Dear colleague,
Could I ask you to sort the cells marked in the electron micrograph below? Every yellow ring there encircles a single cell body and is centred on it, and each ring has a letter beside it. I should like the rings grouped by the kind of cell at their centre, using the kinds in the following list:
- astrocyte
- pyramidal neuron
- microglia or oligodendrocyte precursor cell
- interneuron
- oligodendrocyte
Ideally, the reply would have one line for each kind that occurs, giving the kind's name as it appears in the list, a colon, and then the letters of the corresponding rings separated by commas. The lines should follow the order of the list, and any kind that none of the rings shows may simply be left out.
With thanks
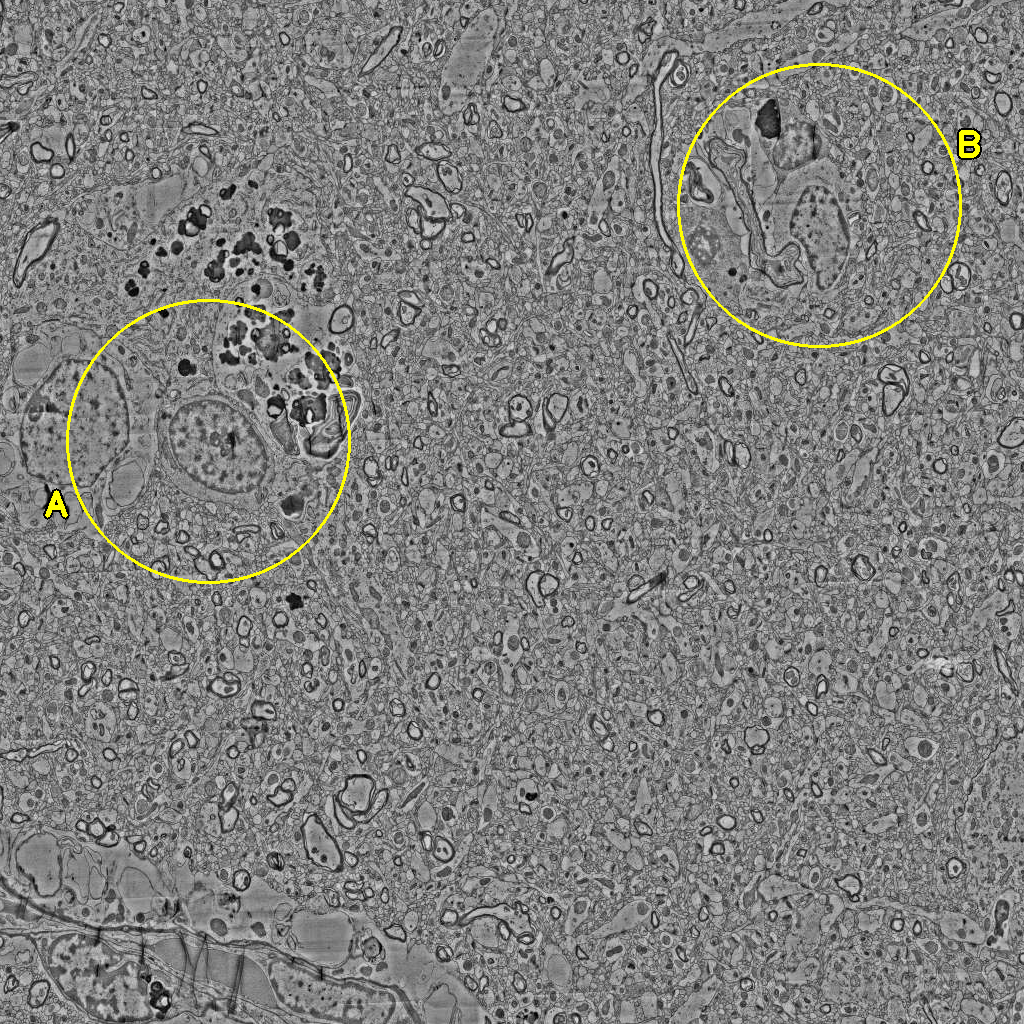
microglia or oligodendrocyte precursor cell: B
oligodendrocyte: A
